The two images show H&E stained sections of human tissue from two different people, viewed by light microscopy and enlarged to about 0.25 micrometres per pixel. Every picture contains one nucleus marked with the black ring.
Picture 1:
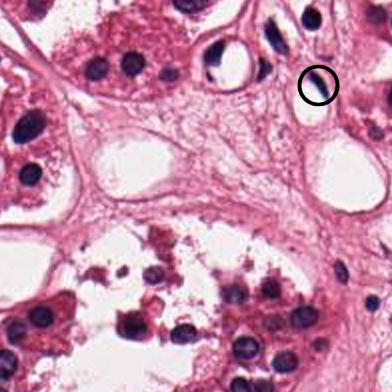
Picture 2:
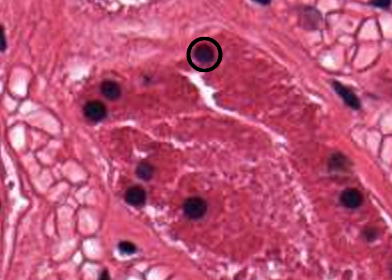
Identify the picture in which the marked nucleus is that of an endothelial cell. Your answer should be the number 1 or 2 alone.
1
